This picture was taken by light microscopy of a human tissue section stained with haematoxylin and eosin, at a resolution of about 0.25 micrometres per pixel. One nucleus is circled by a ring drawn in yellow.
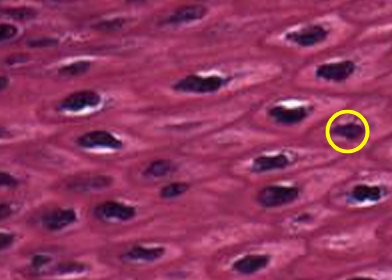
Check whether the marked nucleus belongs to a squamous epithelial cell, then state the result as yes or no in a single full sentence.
Yes, the marked nucleus is a nucleus of a squamous epithelial cell.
